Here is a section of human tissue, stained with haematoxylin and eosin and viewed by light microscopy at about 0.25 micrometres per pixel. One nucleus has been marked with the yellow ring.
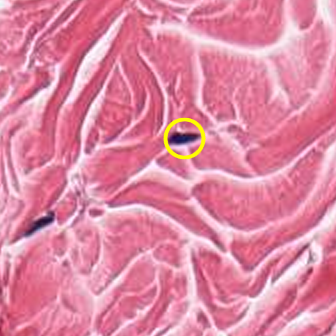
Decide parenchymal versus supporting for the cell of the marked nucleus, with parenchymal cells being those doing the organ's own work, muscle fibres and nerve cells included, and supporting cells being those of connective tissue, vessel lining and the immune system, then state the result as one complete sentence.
A supporting cell is the owner of the marked nucleus.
